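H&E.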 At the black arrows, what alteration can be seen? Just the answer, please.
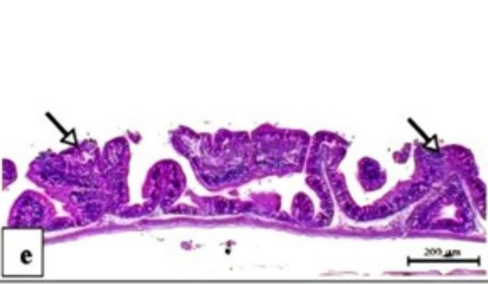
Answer: Degeneration and necrosis of the intestinal mucosa.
